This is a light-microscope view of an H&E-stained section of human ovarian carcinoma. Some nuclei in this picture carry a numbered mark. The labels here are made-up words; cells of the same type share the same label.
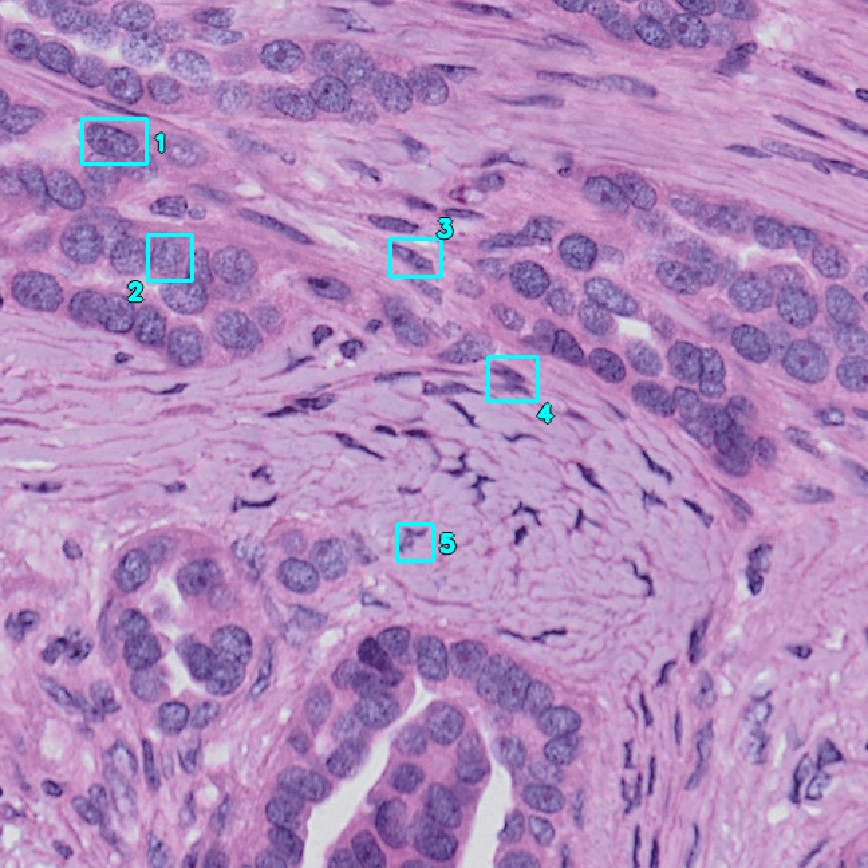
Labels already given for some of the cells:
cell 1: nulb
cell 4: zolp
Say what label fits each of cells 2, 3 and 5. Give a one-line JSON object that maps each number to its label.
{"2": "nulb", "3": "zolp", "5": "zolp"}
